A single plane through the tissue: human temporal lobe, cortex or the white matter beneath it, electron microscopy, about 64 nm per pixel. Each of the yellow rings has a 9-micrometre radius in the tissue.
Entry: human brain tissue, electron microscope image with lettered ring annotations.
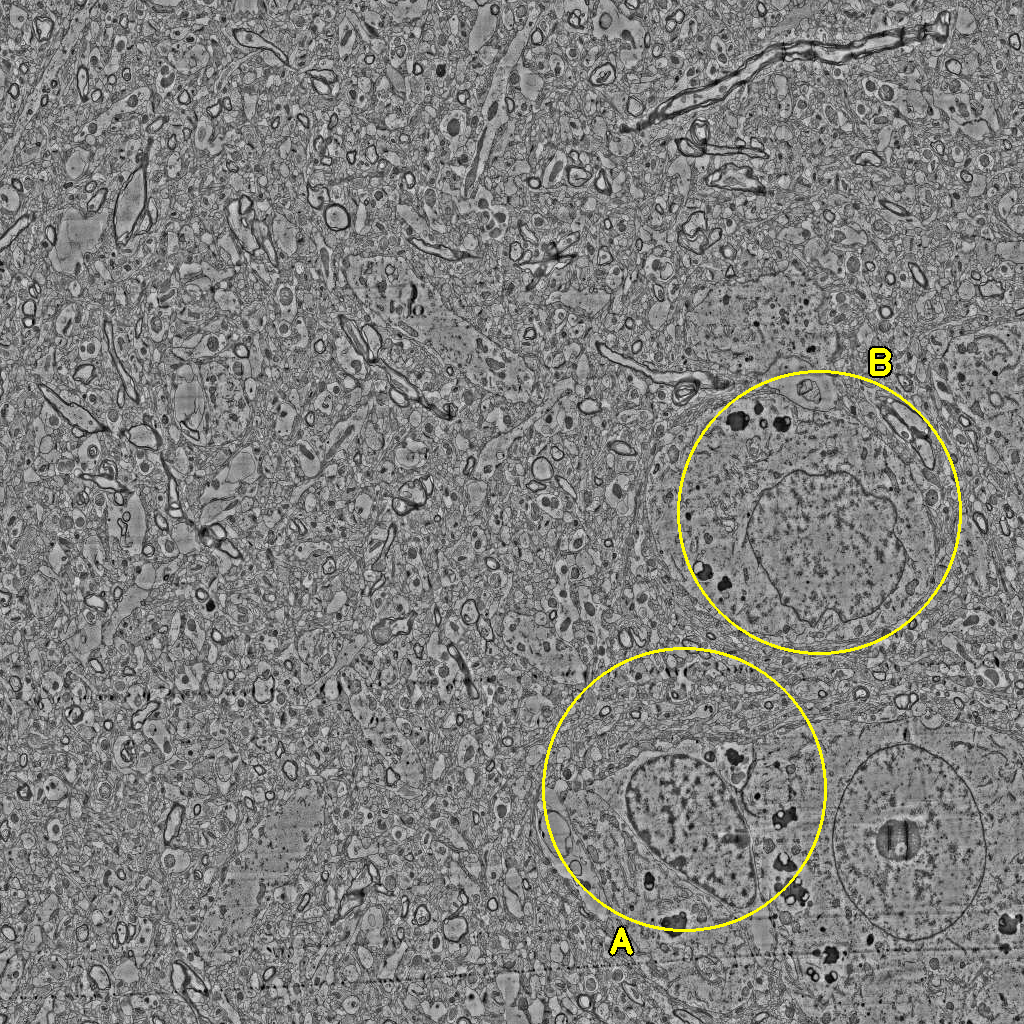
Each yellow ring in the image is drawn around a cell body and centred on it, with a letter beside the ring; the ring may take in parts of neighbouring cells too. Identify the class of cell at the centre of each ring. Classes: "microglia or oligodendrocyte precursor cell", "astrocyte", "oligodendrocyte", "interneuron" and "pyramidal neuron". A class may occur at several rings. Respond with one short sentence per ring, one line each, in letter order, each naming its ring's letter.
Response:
Ring A holds a microglial cell or oligodendrocyte precursor cell at its centre.
Ring B holds a pyramidal neuron at its centre.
